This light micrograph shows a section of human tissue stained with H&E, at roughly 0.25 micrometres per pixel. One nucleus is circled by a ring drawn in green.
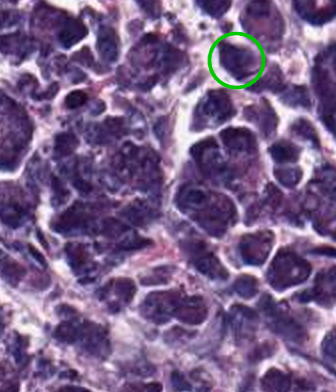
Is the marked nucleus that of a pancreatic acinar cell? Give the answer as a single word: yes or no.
yes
